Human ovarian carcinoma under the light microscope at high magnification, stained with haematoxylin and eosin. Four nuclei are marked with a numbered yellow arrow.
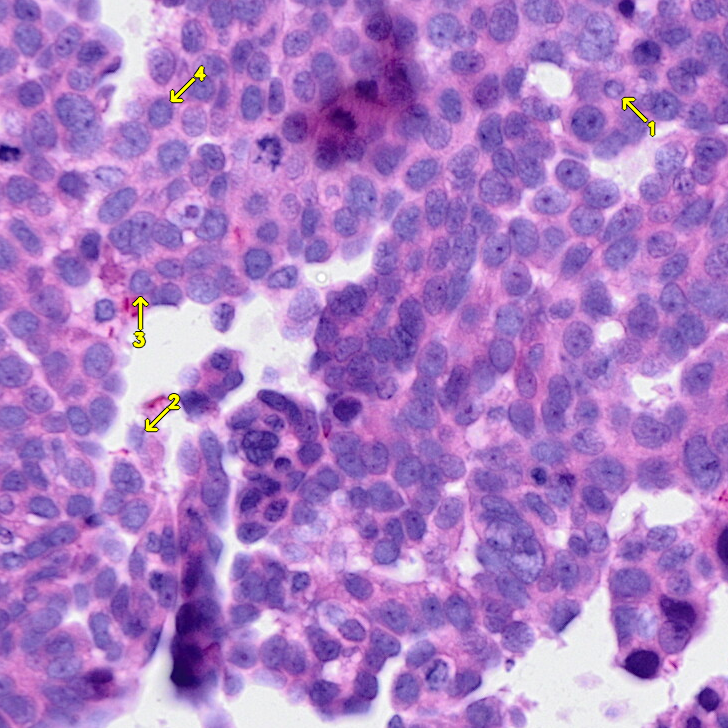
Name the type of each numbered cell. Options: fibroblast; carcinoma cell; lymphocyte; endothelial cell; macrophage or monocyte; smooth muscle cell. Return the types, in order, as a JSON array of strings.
["macrophage or monocyte", "carcinoma cell", "carcinoma cell", "carcinoma cell"]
